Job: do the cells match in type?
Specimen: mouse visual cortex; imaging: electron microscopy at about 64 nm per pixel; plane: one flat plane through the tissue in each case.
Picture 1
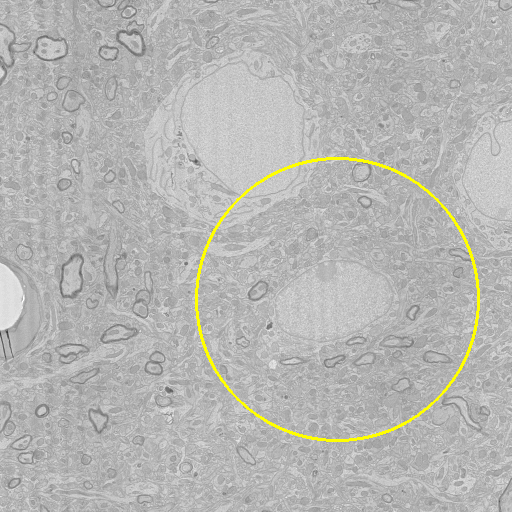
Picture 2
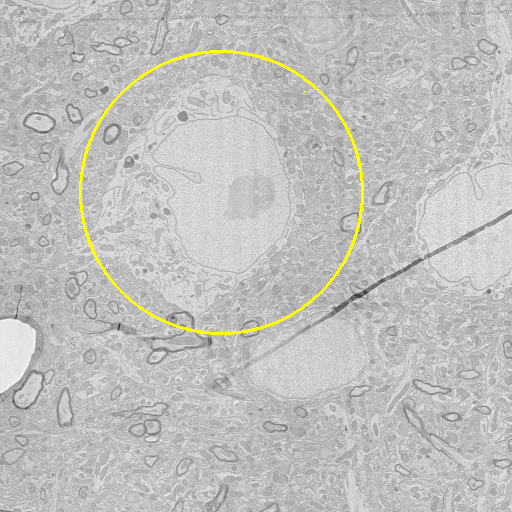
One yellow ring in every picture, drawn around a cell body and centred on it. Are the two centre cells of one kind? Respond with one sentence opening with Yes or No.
No, the ringed cells in the two pictures are of two separate kinds.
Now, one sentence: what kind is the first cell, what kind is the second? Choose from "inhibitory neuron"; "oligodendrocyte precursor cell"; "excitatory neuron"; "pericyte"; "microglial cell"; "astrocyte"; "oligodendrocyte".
The first picture has an astrocyte at its ring centre, and the second has an excitatory neuron.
